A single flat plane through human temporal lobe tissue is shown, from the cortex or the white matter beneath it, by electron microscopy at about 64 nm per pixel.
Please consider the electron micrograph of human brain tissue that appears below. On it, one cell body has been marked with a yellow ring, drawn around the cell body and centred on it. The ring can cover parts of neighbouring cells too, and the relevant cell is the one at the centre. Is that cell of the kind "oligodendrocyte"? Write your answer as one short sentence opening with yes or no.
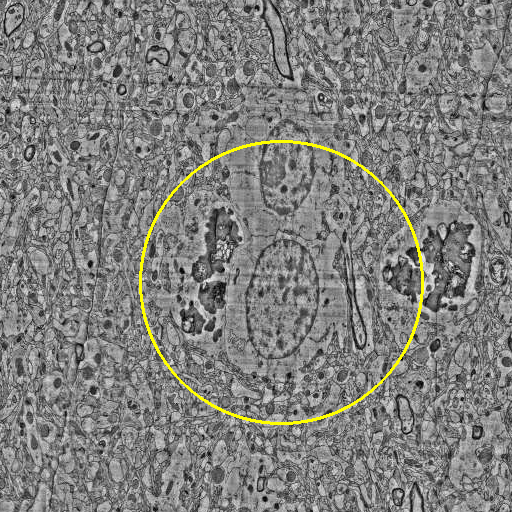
No, it is of another kind.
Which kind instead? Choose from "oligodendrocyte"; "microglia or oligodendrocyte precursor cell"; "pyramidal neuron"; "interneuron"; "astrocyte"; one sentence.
Instead, the cell at the centre of the ring is an astrocyte.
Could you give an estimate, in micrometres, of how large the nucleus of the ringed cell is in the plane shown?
In this plane the nucleus is roughly 8 by 5 micrometres, clearly longer than it is wide.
